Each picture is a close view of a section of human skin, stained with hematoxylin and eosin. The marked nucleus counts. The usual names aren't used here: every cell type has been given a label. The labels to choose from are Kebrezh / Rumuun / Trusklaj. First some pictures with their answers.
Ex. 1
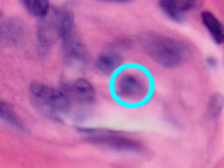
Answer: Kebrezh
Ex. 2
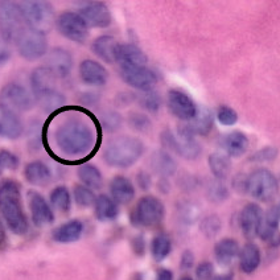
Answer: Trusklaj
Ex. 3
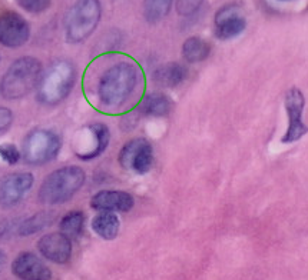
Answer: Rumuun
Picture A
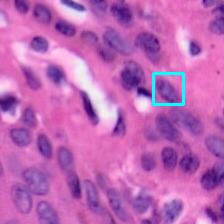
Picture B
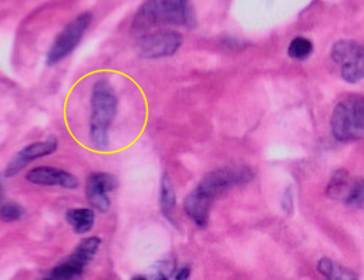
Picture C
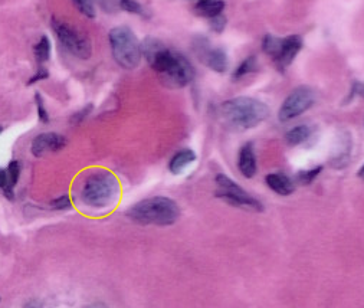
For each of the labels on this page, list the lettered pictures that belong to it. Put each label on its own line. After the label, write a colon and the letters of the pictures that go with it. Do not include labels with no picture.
Kebrezh: B, C
Trusklaj: A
